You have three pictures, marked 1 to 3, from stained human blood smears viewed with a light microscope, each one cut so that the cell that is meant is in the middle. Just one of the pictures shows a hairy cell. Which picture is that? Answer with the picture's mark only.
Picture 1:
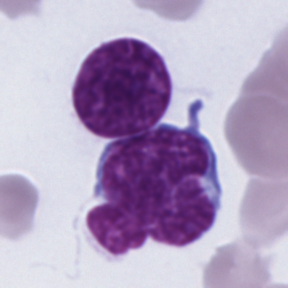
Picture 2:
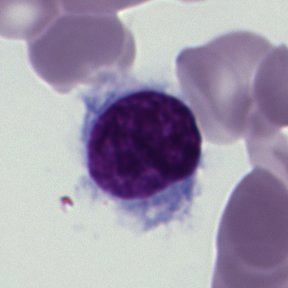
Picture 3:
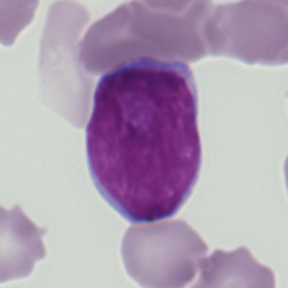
2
